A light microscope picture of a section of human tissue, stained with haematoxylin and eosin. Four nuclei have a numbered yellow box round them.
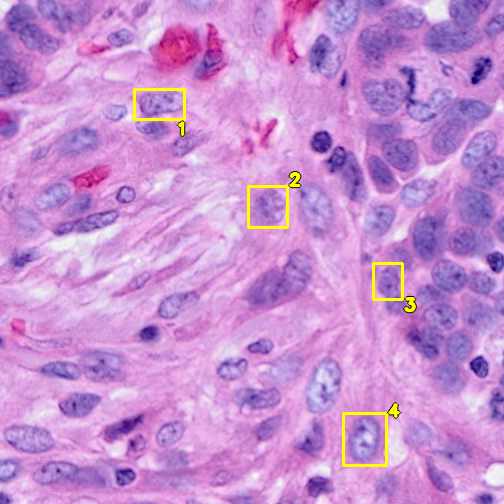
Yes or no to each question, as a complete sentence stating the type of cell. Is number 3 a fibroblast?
No, the cell indicated by 3 is a macrophage or monocyte instead of a fibroblast.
